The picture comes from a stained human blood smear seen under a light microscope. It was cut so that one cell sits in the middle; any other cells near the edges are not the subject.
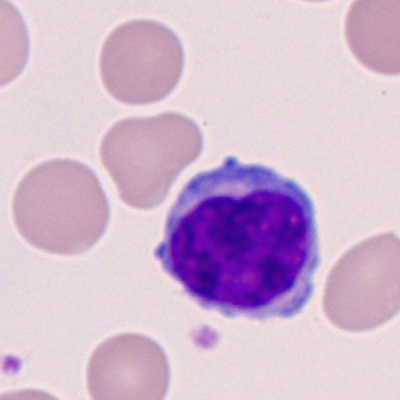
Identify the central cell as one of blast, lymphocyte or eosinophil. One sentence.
This particular crop is centered on a lymphocyte.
